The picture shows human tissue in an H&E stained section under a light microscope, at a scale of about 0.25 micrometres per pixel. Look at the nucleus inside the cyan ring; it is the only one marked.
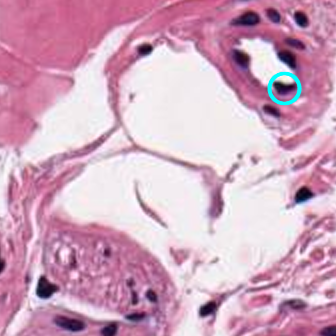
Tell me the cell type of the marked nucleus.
endothelial cell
